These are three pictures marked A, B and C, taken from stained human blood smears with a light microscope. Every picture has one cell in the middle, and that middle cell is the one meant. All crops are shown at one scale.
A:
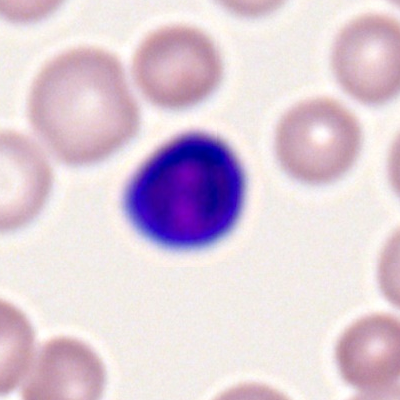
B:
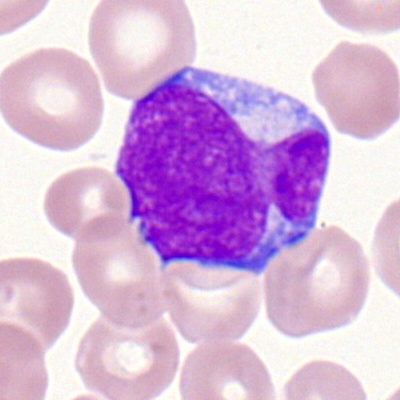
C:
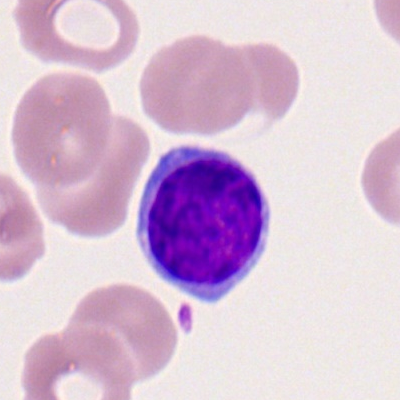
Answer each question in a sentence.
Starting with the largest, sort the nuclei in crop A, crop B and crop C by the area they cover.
The order is B, C, A, beginning with the largest.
